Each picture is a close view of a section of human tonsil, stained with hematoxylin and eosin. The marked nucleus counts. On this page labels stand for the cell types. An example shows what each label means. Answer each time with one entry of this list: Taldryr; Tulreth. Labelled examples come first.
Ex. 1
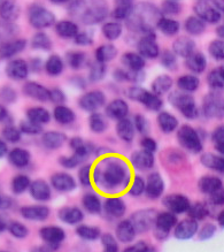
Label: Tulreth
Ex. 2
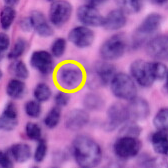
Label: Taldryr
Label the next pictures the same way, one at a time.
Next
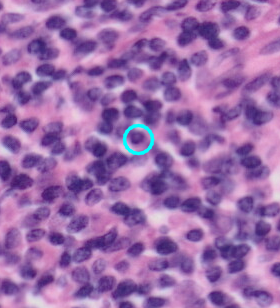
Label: Tulreth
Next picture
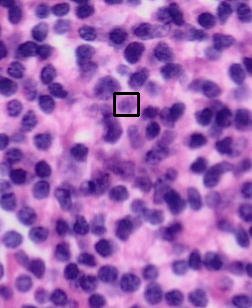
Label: Taldryr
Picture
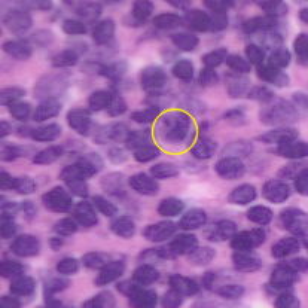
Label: Tulreth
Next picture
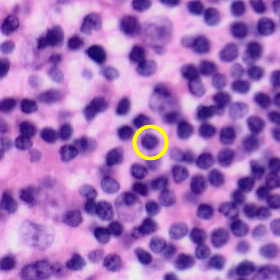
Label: Tulreth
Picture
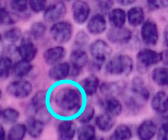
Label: Tulreth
